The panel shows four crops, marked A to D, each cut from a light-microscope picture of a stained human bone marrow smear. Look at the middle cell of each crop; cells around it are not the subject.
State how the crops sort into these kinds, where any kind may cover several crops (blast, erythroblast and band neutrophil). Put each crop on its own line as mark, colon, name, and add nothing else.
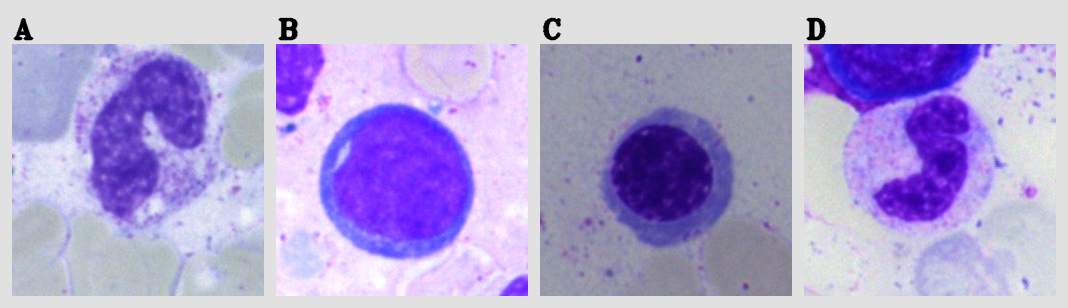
A: band neutrophil
B: blast
C: erythroblast
D: band neutrophil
